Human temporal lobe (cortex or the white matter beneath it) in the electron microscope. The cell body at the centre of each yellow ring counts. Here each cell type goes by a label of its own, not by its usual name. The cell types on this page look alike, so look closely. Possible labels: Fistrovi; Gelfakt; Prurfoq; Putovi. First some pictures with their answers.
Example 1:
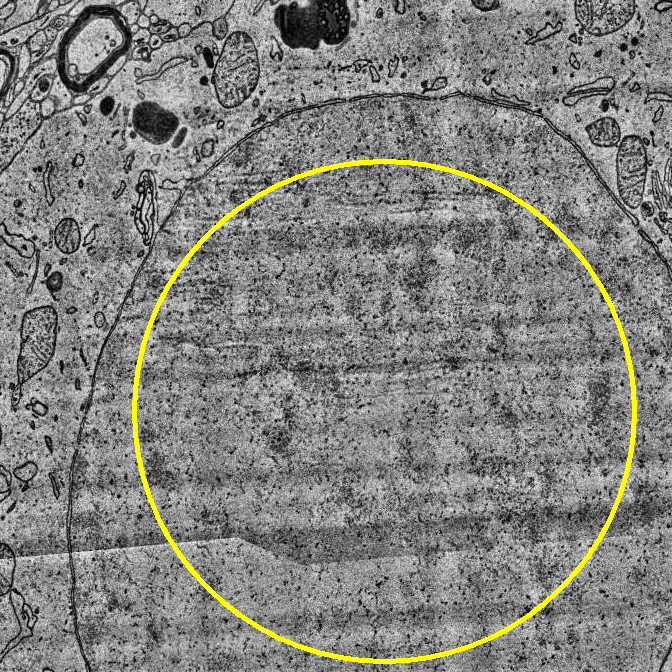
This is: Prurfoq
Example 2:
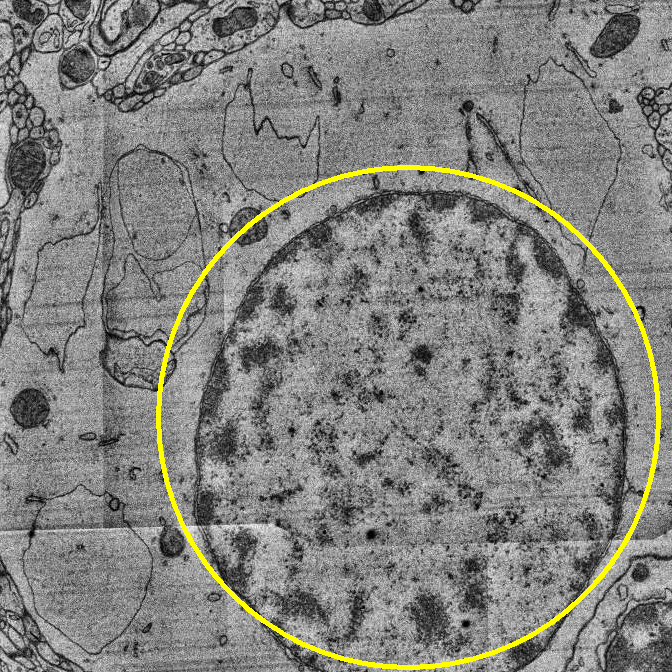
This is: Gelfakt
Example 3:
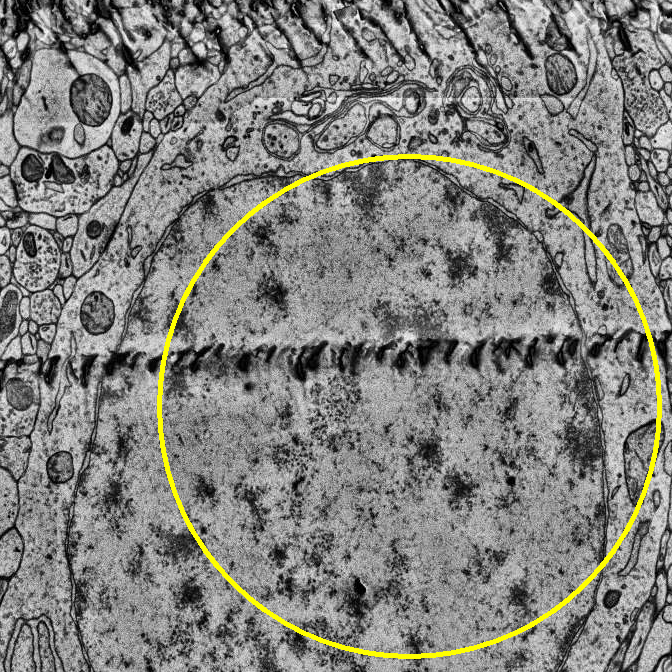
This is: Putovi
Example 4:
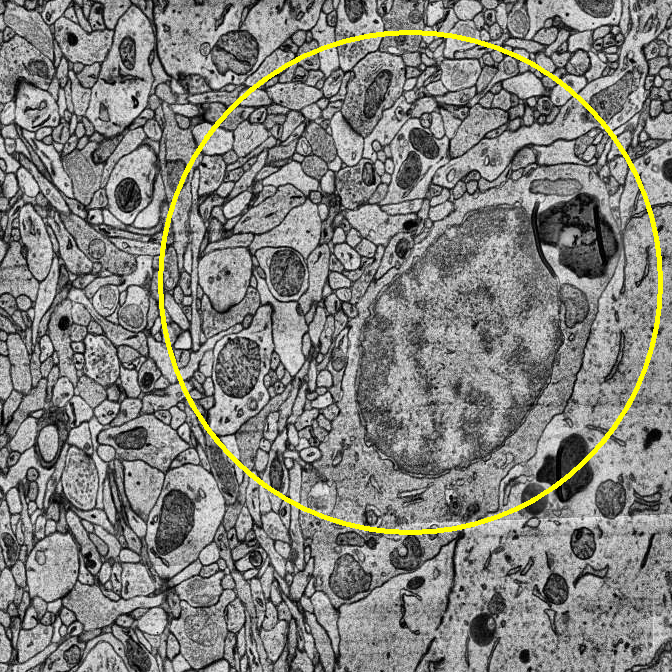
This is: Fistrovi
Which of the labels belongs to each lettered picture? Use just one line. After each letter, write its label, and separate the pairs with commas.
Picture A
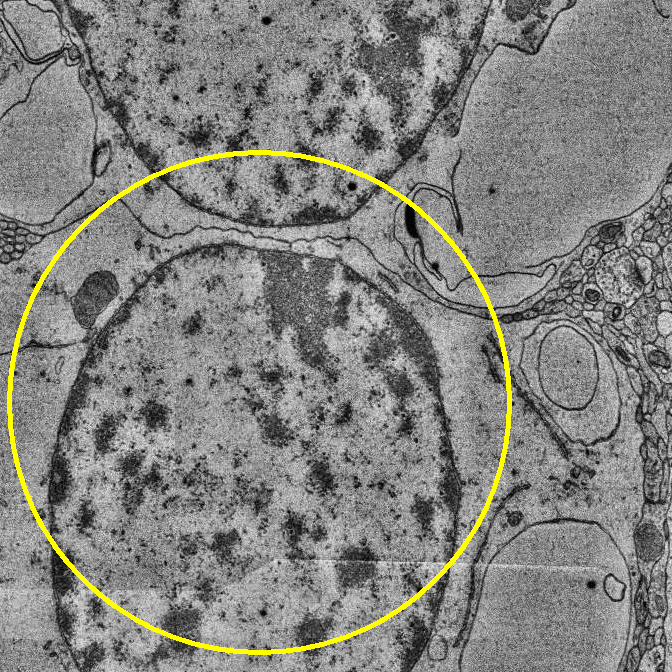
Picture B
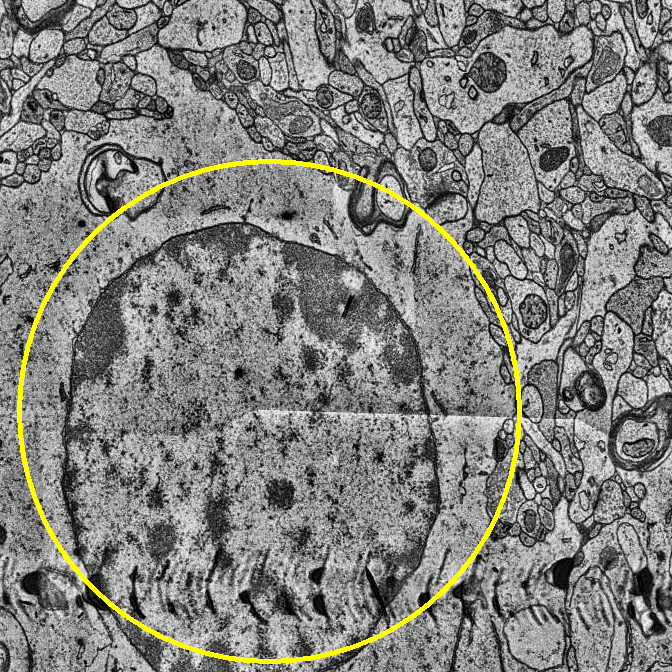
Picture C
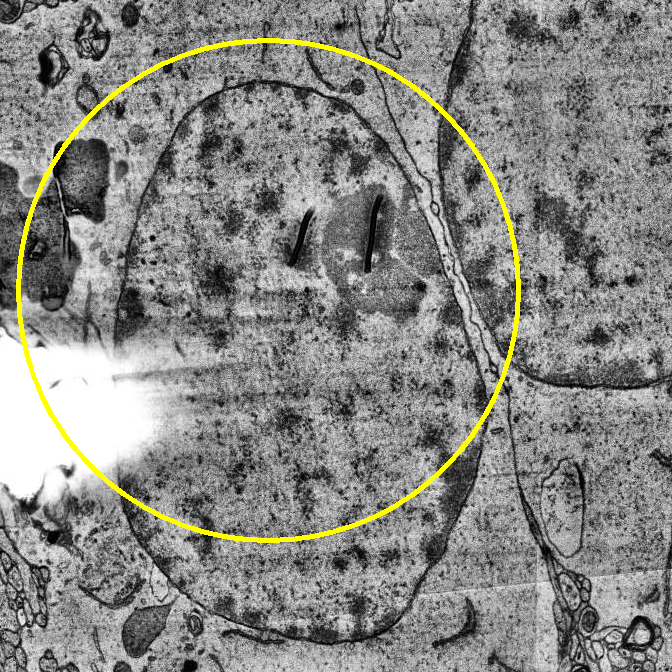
A Gelfakt, B Gelfakt, C Gelfakt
